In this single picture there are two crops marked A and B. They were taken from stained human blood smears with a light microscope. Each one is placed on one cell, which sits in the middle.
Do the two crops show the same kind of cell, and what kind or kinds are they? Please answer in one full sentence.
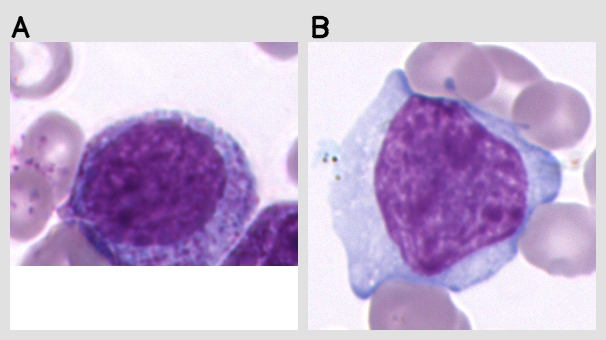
No, crop A shows a promyelocyte, and crop B, by contrast, shows a myeloblast.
